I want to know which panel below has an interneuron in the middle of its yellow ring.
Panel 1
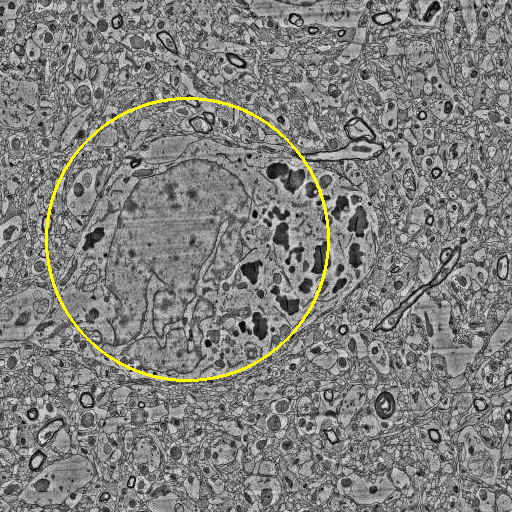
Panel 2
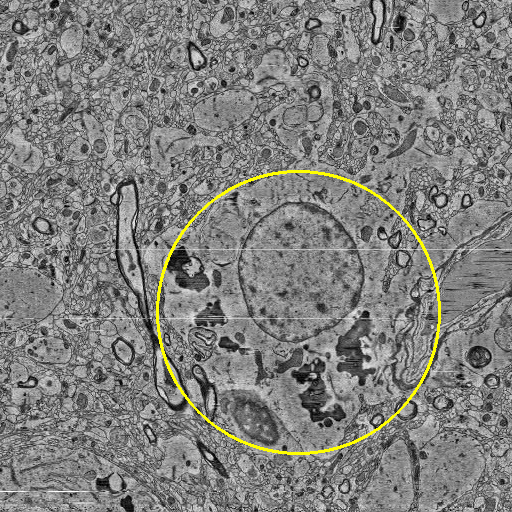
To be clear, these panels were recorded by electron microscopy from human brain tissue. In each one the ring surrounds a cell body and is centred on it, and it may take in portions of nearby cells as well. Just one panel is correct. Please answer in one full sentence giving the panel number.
Panel 1 has the requested cell sitting at the centre of its ring.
